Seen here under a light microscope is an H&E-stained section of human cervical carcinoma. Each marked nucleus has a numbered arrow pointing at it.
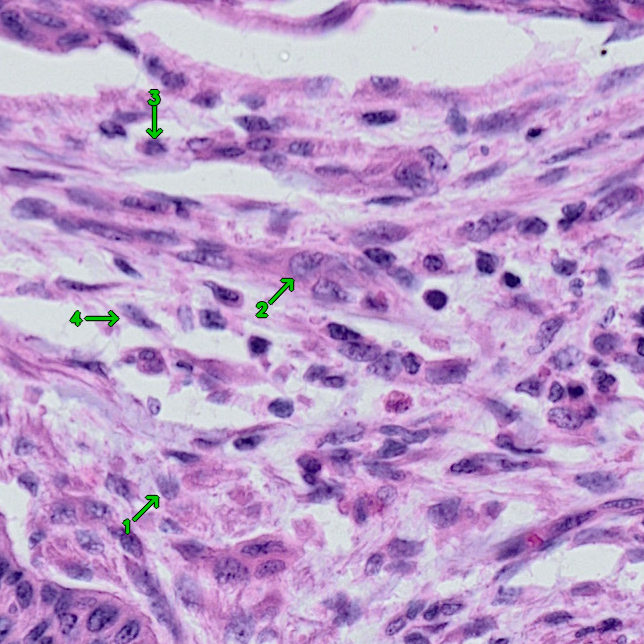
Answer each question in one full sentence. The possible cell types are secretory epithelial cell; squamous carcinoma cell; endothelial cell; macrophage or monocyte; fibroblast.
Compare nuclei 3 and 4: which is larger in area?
Number 4 is larger; its area is about 1.5 times that of number 3.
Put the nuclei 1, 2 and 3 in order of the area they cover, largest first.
By area, largest first, they run 2, 1, 3.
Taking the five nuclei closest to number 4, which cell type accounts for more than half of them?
Macrophages or monocytes account for more than half of the five nuclei nearest to number 4.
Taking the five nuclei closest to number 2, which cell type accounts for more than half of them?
Most of the five nuclei nearest to number 2 are those of endothelial cells.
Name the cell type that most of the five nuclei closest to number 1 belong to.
Around number 1, most of the five nearest nuclei are those of fibroblasts.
